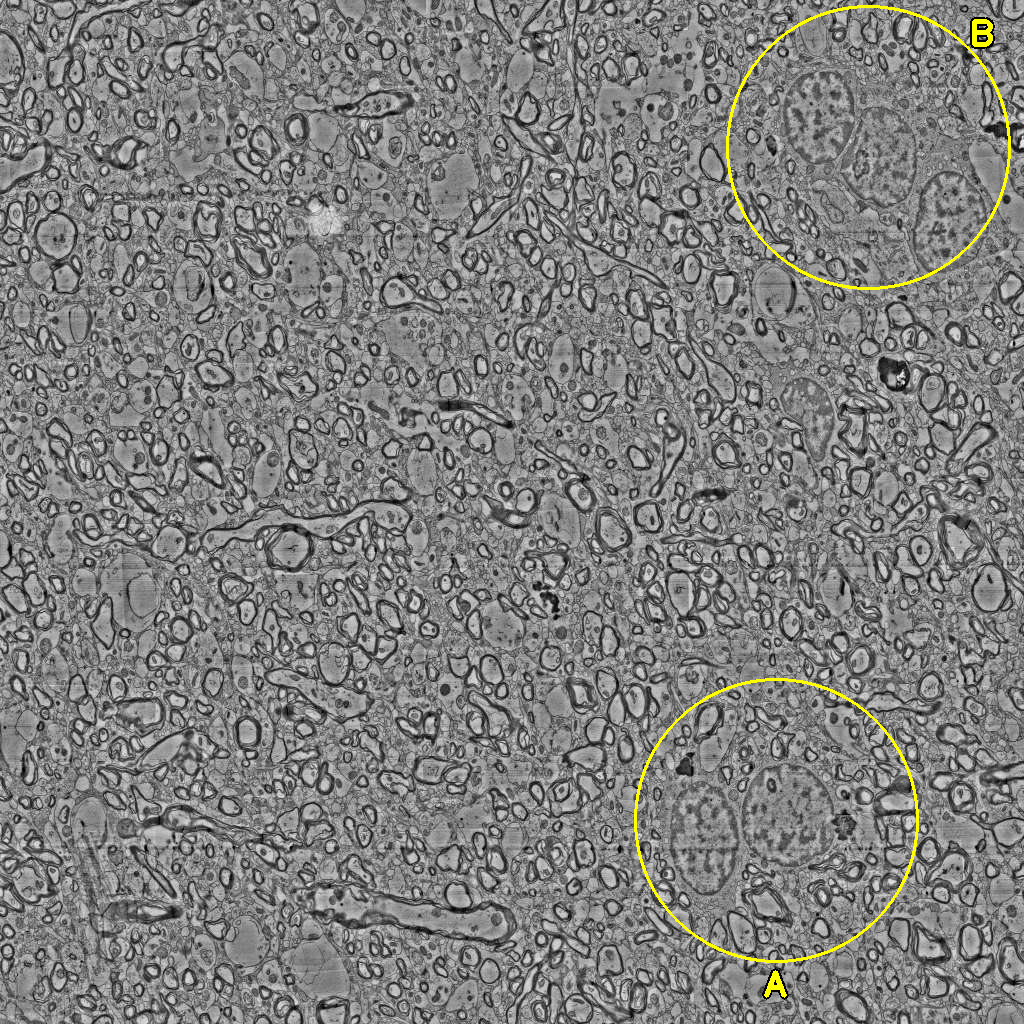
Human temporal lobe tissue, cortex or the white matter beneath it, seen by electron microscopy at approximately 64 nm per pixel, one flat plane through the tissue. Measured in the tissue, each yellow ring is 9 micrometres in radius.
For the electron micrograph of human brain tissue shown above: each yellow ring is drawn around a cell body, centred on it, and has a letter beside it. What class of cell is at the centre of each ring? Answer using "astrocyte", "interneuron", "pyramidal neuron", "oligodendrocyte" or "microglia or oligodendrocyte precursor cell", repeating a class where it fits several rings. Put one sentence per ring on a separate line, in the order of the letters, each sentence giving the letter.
At ring A, the central cell is an oligodendrocyte.
At ring B, the central cell is an oligodendrocyte.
